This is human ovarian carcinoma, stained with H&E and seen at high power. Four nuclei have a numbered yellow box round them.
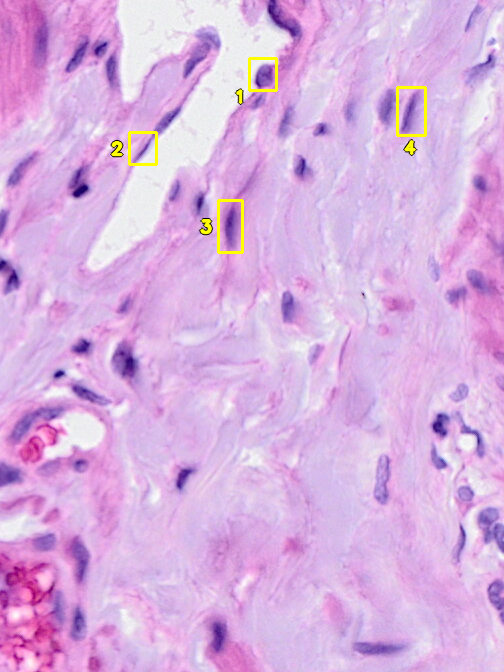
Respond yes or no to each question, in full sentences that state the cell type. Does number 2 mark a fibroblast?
No, cell 2 is not a fibroblast; an endothelial cell is correct.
